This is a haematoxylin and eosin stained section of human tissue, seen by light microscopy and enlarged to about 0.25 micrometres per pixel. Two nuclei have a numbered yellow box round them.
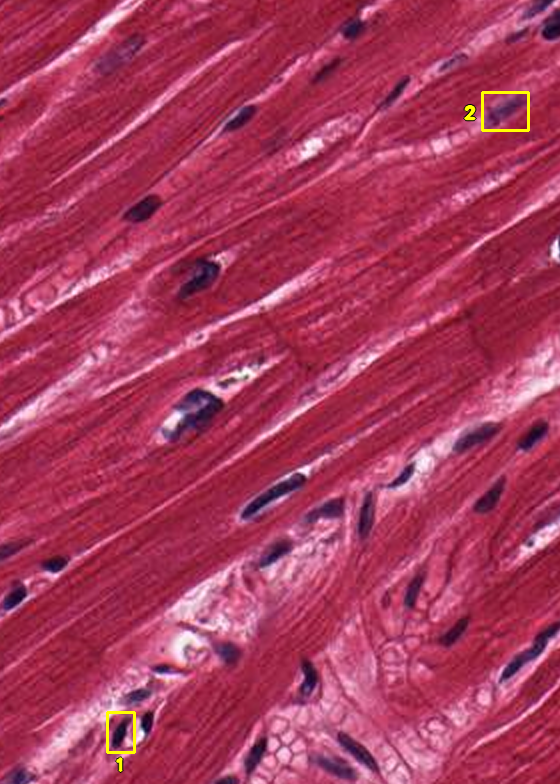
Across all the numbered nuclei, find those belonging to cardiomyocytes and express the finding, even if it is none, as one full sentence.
To a cardiomyocyte belongs nucleus 2, and no other numbered nucleus.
